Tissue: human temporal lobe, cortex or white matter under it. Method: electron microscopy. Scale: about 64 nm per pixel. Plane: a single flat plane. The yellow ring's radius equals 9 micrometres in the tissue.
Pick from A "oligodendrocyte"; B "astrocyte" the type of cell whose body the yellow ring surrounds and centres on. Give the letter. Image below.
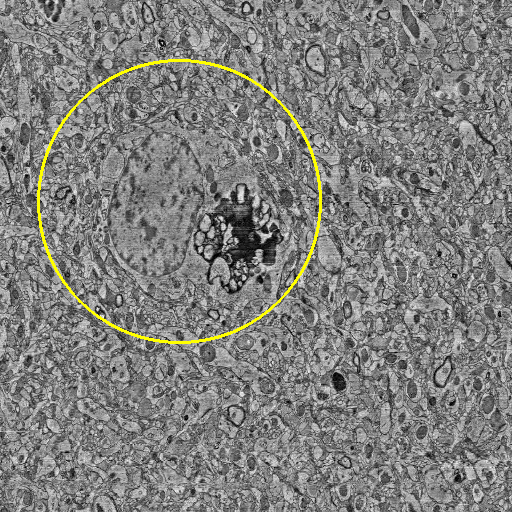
B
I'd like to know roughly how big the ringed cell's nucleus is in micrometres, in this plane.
In this plane, the nucleus is roughly 10 by 6 micrometres.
